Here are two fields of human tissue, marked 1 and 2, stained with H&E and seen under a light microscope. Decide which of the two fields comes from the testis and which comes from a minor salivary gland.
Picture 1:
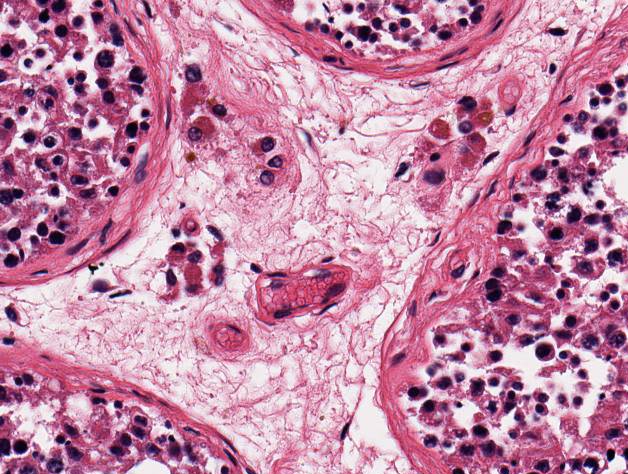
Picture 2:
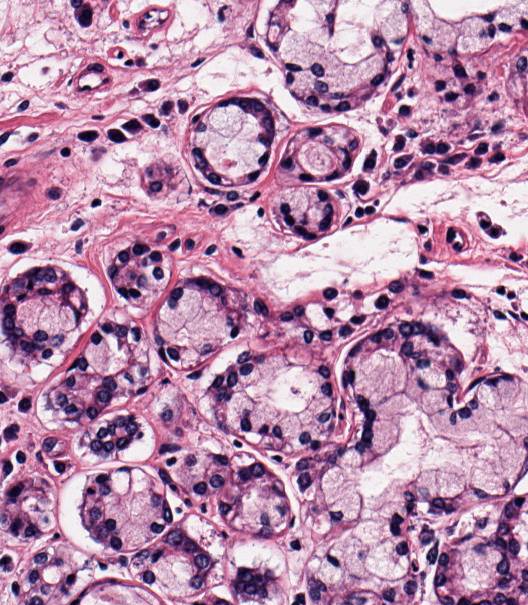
1: testis
2: minor salivary gland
